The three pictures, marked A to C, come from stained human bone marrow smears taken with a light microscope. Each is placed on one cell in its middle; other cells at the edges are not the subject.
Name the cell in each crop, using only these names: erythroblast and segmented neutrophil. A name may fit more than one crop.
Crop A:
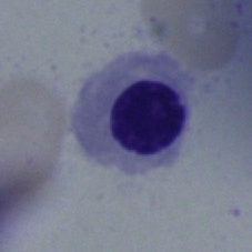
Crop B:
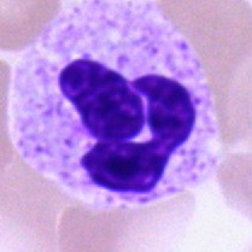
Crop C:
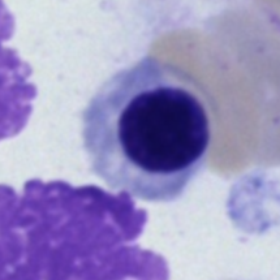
A: erythroblast
B: segmented neutrophil
C: erythroblast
